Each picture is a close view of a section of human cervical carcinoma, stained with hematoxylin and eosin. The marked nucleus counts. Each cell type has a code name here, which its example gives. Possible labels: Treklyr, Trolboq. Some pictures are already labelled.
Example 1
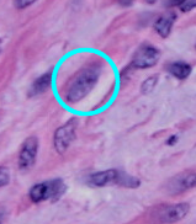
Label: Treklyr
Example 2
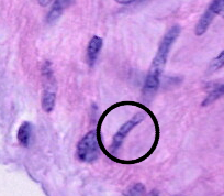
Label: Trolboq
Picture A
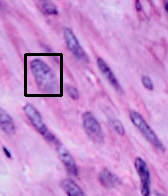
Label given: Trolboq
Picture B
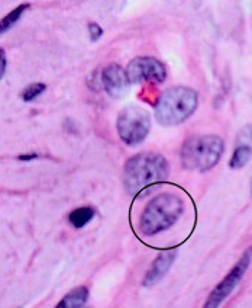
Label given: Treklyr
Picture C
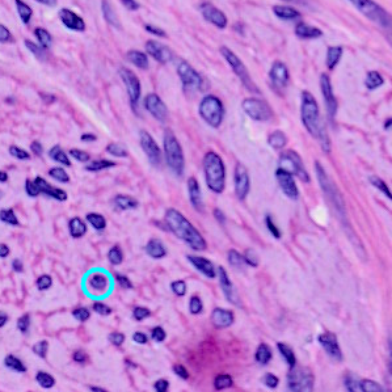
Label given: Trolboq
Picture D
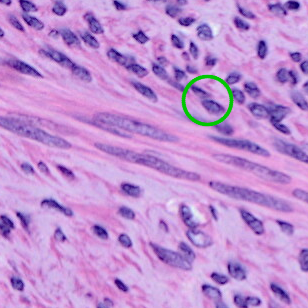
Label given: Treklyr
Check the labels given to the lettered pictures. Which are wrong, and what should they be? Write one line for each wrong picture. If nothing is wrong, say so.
Wrong: D (Treklyr); correct: Trolboq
